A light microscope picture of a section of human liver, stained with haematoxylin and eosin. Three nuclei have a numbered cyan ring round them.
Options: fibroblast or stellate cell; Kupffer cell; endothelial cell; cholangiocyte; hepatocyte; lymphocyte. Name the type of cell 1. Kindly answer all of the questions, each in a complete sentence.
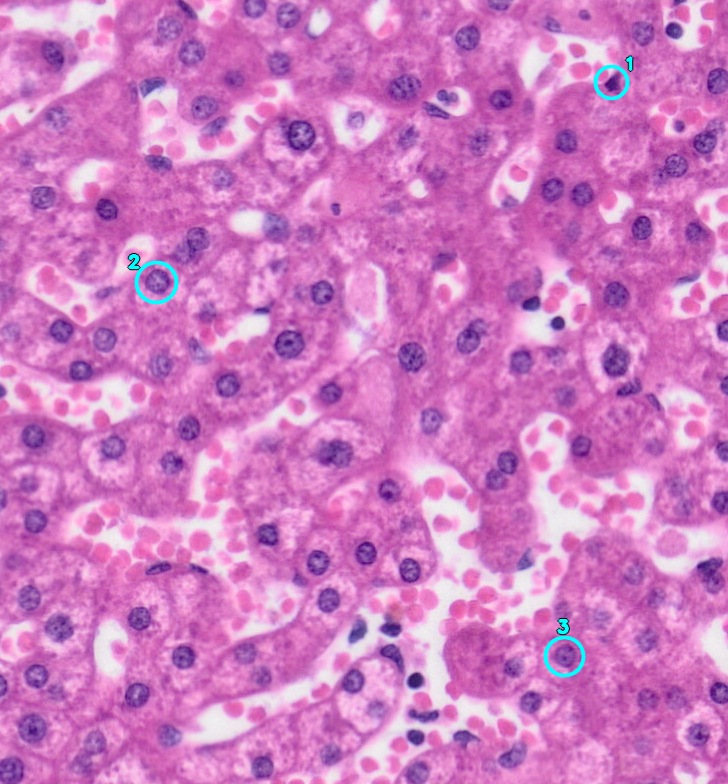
The cell referred to as 1 is a fibroblast or stellate cell.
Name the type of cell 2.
The cell bearing label 2 corresponds to a hepatocyte.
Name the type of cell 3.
To a hepatocyte belongs the nucleus marked 3.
